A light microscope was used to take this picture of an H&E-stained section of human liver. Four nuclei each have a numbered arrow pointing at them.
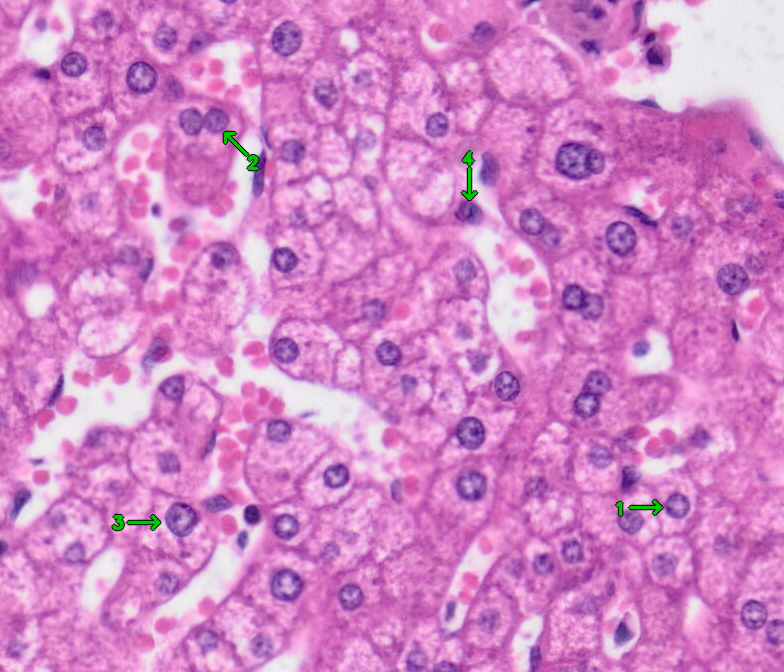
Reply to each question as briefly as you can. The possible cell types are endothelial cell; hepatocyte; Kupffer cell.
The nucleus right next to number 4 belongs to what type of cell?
endothelial cell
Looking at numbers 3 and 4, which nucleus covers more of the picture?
3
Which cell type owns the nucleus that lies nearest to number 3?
Kupffer cell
